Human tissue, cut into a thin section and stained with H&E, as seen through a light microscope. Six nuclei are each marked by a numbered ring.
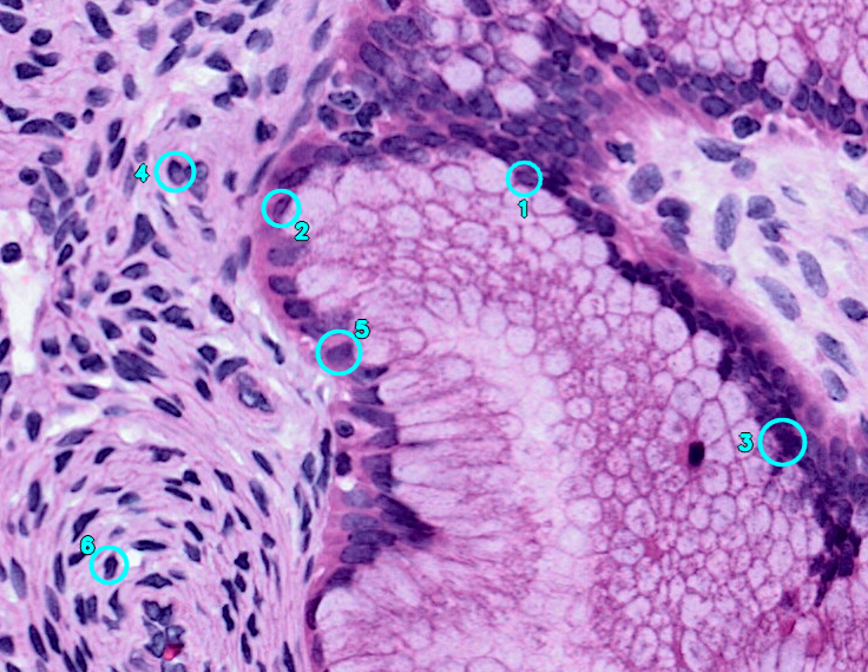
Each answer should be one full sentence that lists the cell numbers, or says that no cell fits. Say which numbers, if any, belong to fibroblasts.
Cell 6 is a fibroblast, whereas each of the other numbered cells is not.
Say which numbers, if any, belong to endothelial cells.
Of the cells marked with numbers, cell 4 is the only one that is an endothelial cell.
